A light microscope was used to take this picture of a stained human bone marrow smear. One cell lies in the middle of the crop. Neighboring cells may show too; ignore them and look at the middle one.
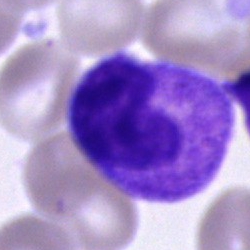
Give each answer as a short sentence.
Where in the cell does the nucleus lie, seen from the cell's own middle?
It is shifted toward the left of the cell.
